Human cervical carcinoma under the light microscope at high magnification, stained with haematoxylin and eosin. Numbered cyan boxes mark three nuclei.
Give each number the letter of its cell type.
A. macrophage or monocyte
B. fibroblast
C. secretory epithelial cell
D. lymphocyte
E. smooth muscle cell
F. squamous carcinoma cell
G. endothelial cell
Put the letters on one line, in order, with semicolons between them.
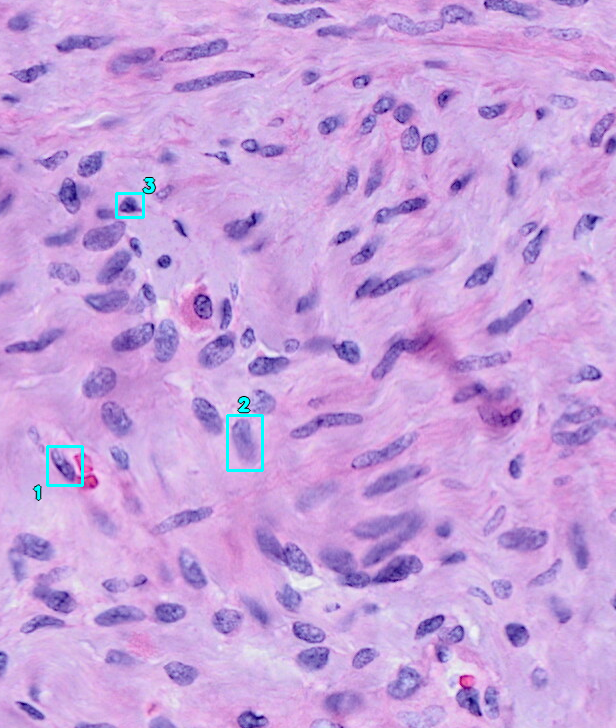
G; B; B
